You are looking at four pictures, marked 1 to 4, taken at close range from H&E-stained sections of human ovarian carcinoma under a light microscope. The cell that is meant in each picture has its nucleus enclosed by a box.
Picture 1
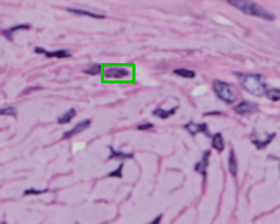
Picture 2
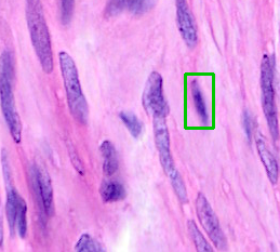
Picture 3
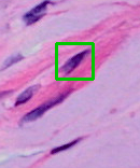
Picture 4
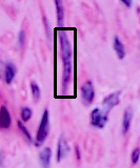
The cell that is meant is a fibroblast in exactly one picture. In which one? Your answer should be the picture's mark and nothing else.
1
